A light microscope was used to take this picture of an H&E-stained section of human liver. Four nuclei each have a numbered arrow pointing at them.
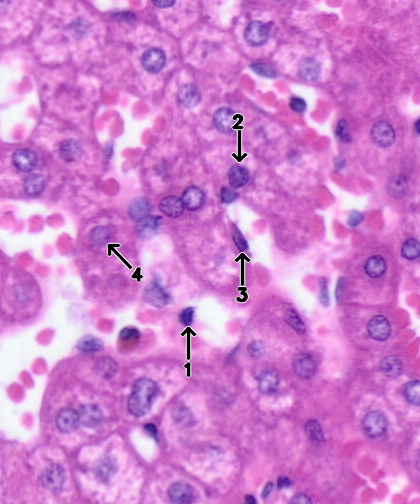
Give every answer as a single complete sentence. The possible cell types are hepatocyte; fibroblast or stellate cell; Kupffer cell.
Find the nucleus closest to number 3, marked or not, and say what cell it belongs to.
The cell nearest to number 3 is a fibroblast or stellate cell.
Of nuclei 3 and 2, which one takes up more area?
The larger nucleus is 2, at roughly 1.5 times the area of 3.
